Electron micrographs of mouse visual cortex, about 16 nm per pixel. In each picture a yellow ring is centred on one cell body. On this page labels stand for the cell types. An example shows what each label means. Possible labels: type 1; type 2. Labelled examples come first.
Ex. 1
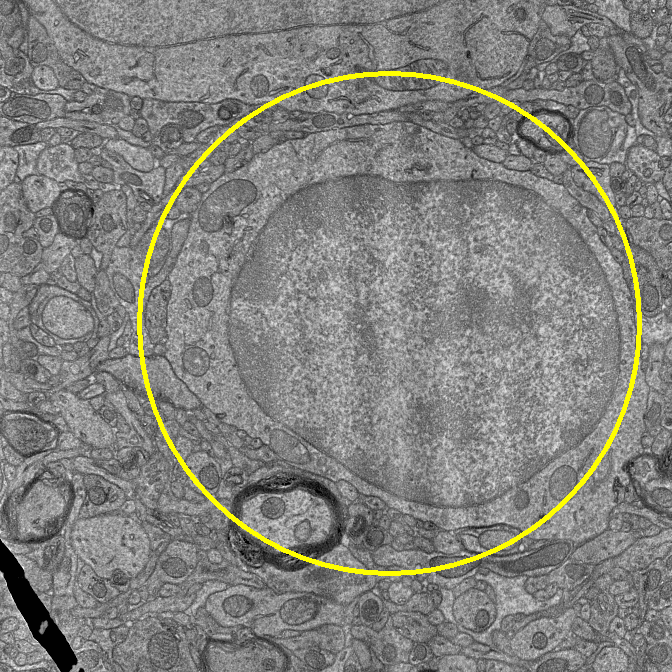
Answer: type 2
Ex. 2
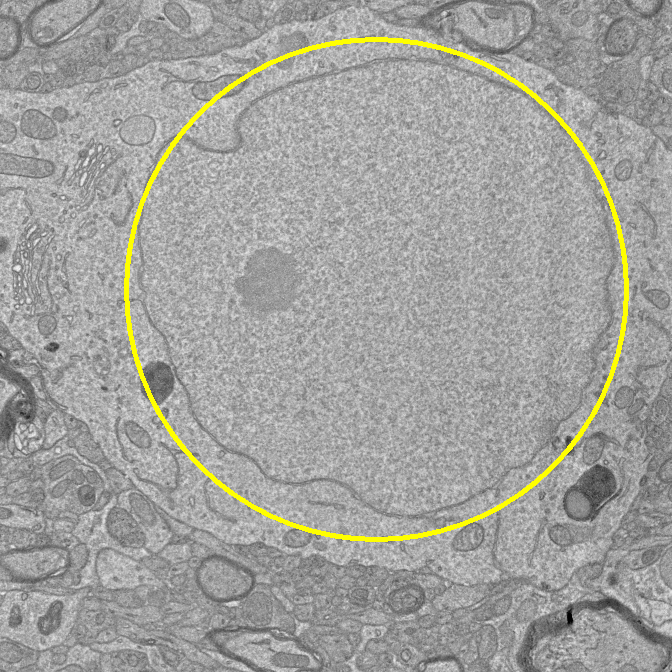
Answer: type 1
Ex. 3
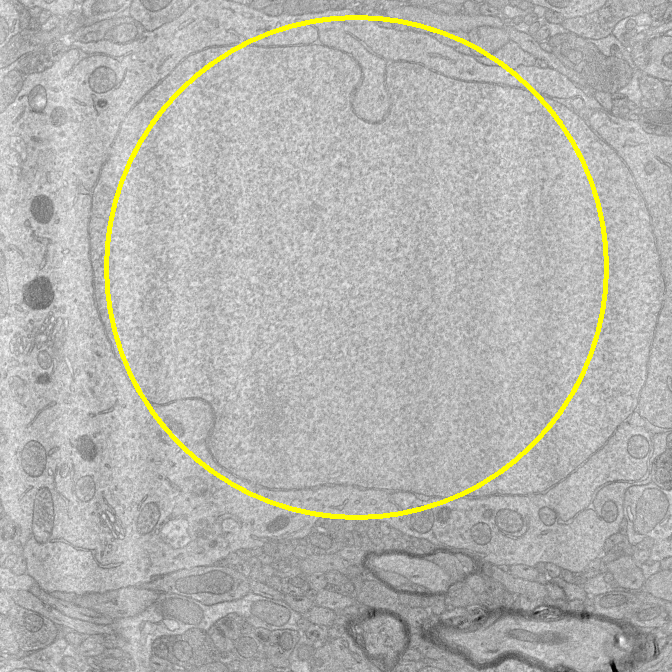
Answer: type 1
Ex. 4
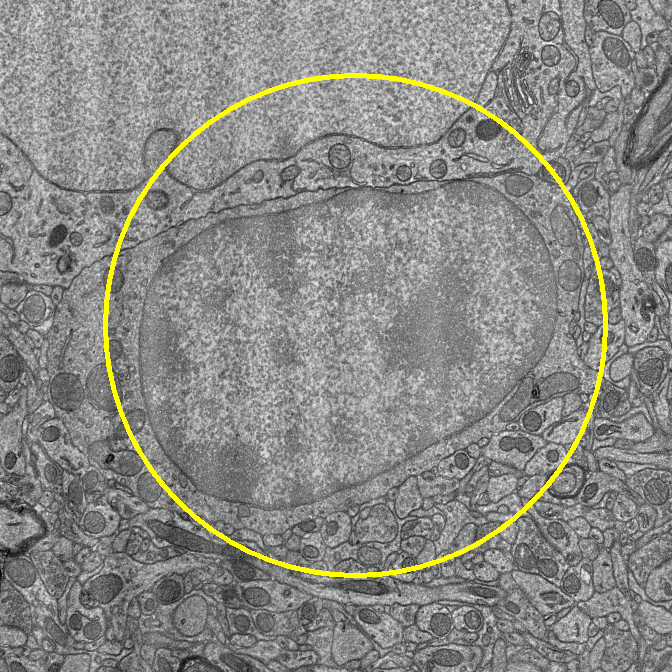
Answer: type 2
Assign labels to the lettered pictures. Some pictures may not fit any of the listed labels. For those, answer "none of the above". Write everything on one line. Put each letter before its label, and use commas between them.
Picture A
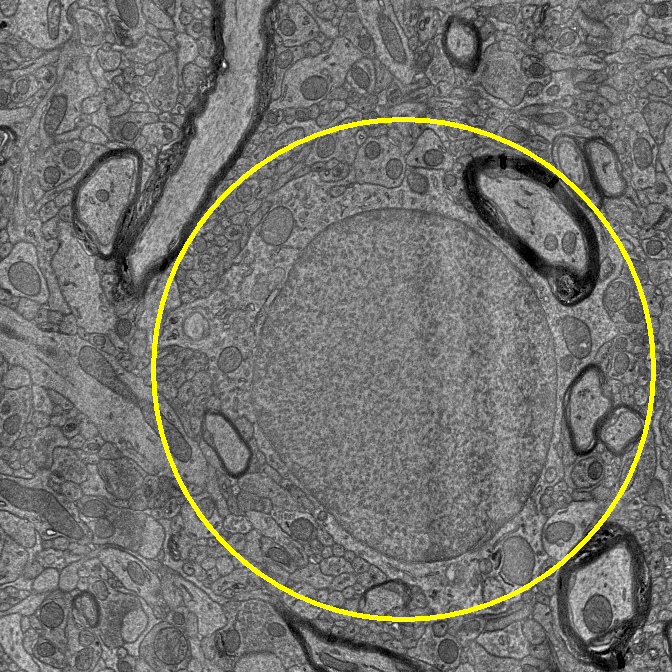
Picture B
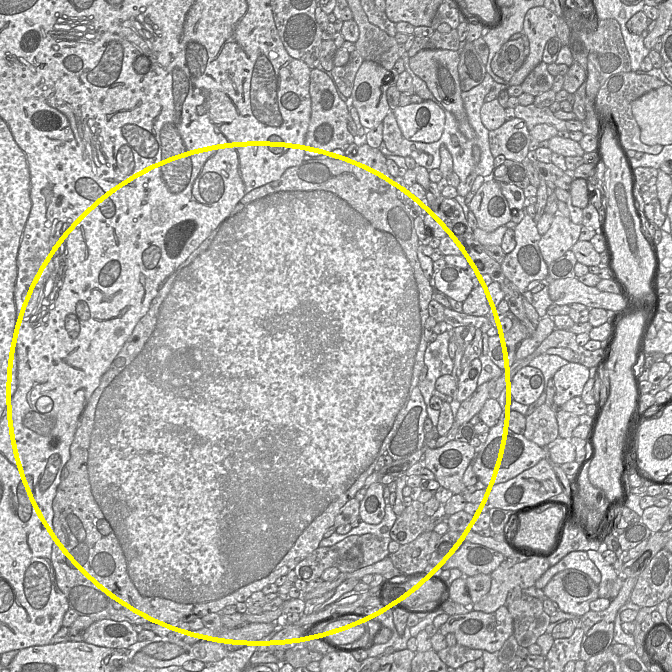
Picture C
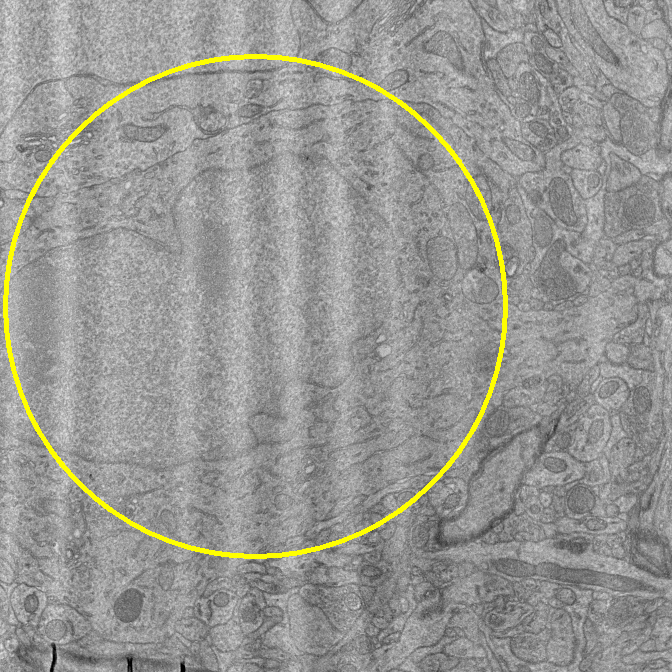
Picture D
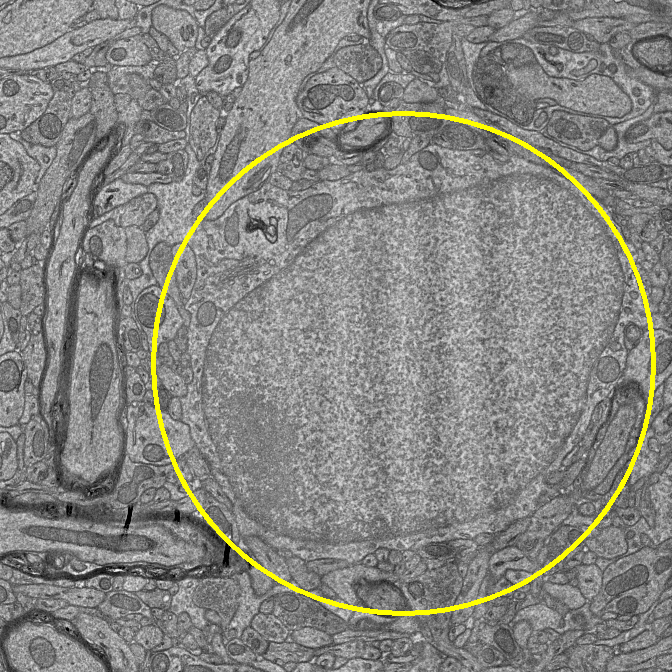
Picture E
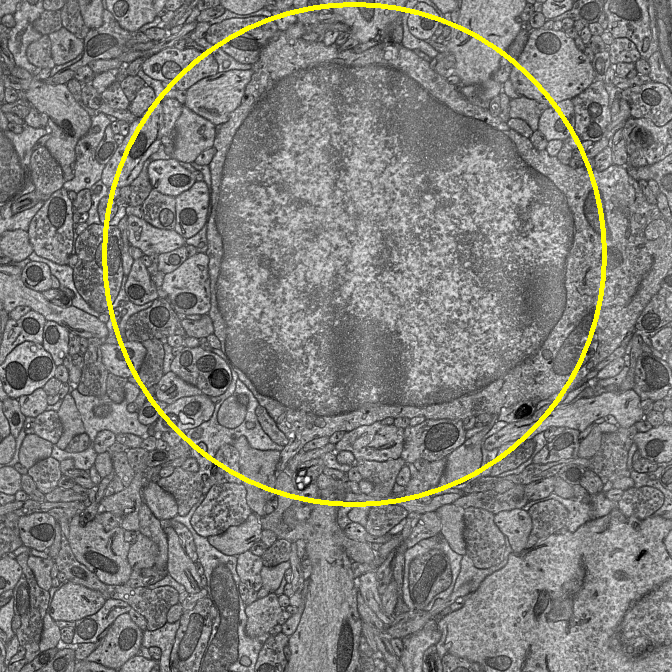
A none of the above, B type 2, C type 2, D none of the above, E type 2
